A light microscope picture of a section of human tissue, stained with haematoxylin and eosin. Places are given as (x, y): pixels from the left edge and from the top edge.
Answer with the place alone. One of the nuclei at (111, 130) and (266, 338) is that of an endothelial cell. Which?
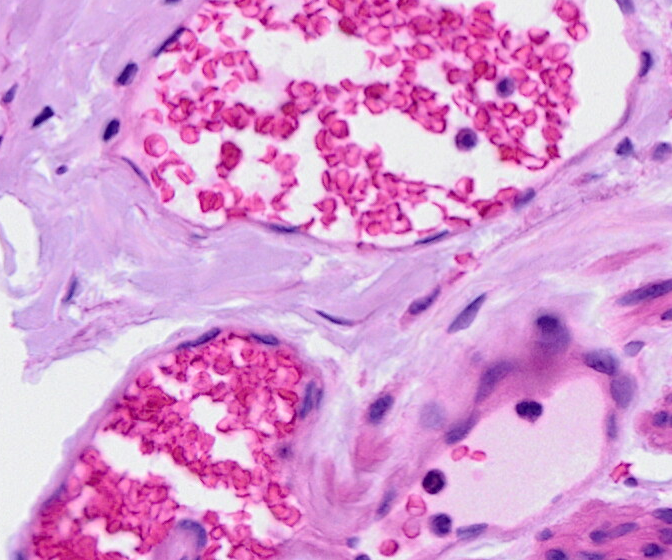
(266, 338)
